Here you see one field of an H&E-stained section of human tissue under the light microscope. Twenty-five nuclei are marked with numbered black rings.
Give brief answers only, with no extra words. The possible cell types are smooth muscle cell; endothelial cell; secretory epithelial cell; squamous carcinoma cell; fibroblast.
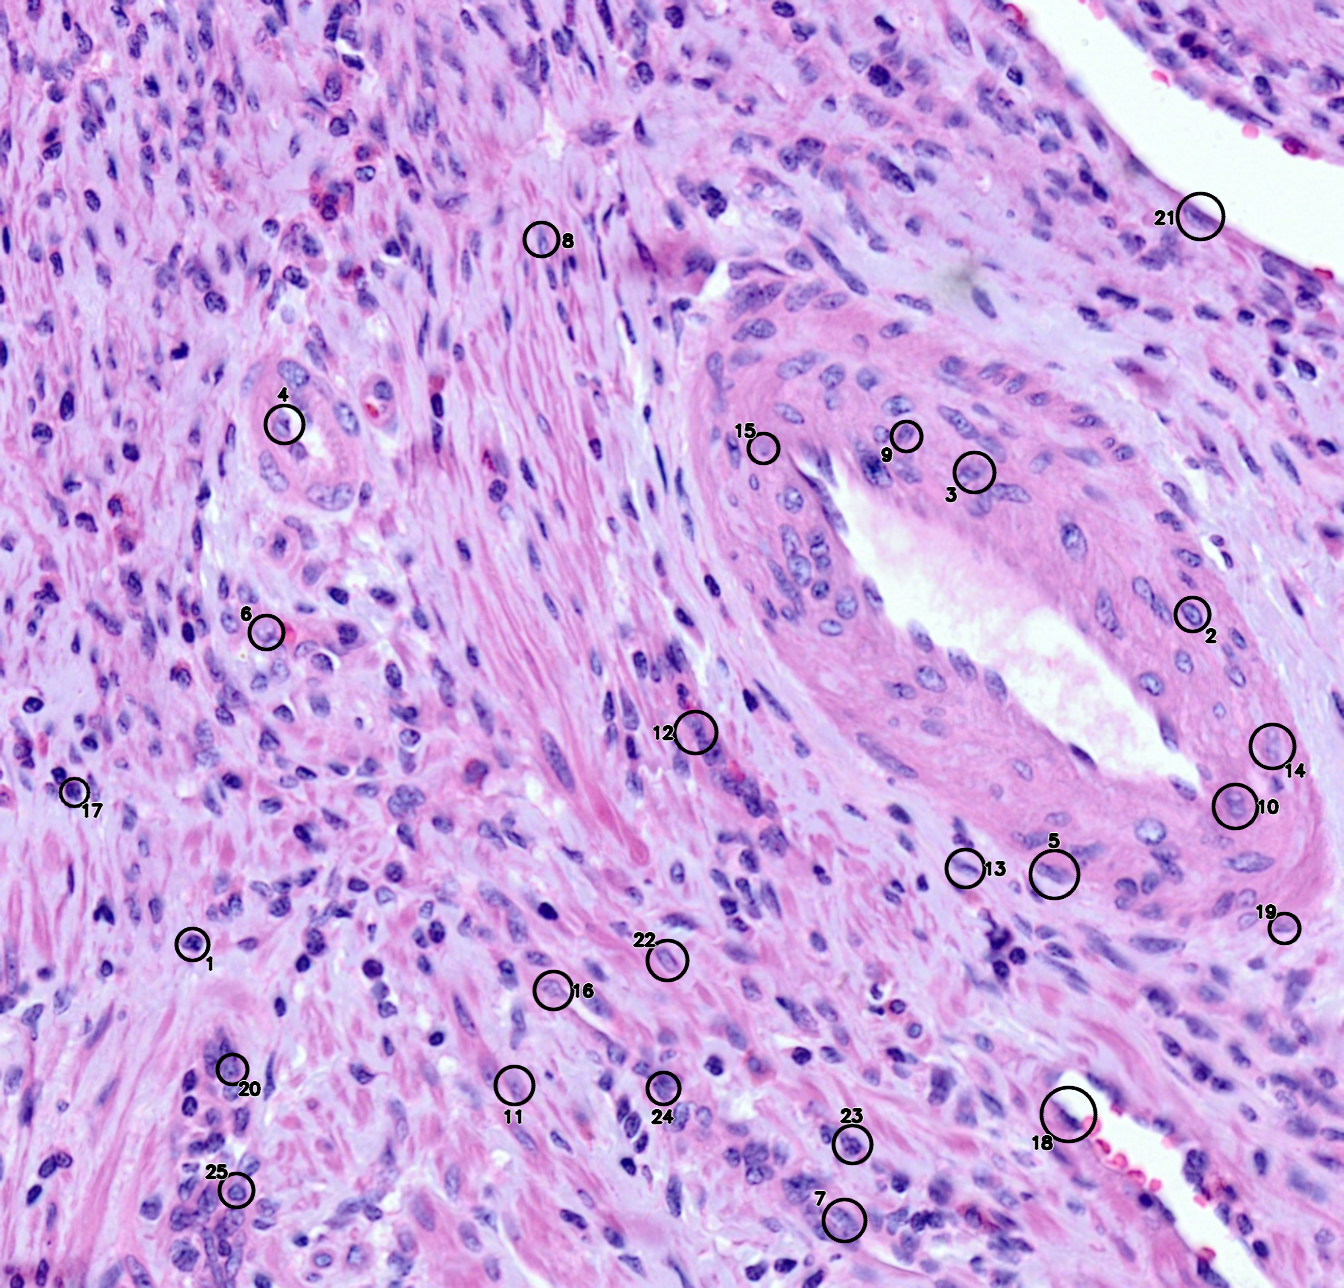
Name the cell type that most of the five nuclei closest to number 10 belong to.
smooth muscle cell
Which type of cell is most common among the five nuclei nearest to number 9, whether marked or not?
smooth muscle cell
